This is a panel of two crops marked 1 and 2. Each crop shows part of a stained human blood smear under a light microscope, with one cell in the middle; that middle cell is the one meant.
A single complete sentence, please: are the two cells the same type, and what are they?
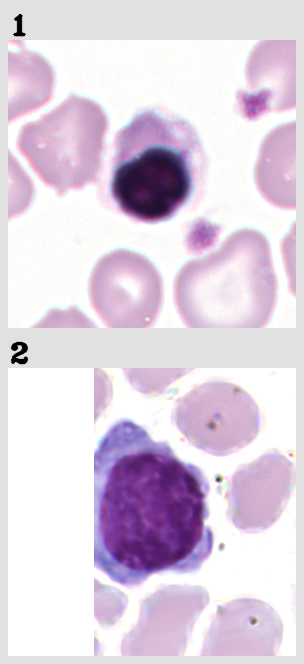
No, while a normoblast is found in crop 1, a plasma cell is found in crop 2.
